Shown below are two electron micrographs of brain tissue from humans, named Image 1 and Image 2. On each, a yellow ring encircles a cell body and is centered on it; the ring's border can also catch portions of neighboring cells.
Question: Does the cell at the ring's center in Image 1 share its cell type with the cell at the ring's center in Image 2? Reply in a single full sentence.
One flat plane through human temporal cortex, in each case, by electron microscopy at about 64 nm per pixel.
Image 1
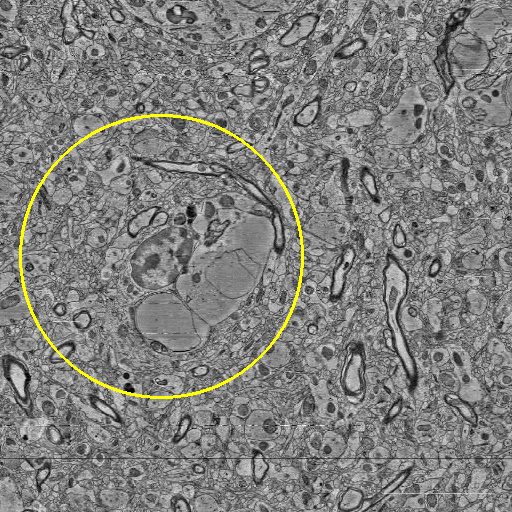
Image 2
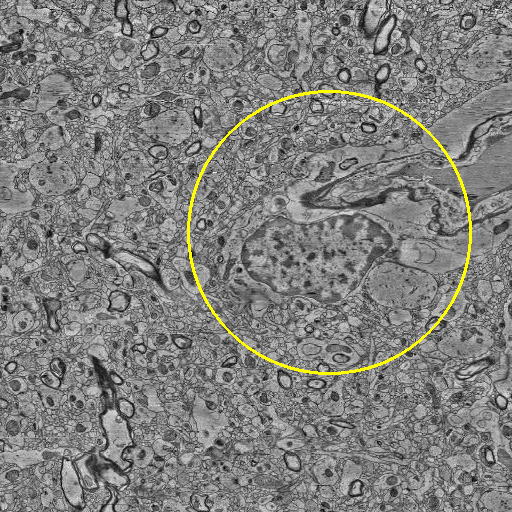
Yes, the two cells at the ring centers, in Image 1 and Image 2, share one cell type.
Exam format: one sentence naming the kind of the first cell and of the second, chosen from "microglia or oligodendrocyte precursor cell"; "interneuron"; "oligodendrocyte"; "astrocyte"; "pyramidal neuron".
Each one of the two ringed cells is a microglial cell or oligodendrocyte precursor cell.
